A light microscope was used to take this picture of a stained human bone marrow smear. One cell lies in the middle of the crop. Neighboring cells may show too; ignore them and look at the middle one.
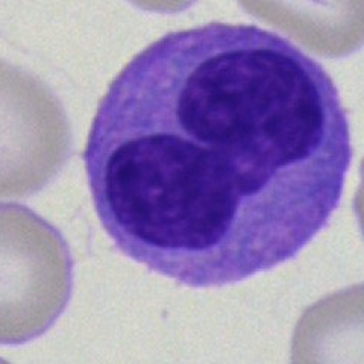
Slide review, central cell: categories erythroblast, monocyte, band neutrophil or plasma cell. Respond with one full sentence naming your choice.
The cell that lies at the centre of the crop is a monocyte.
